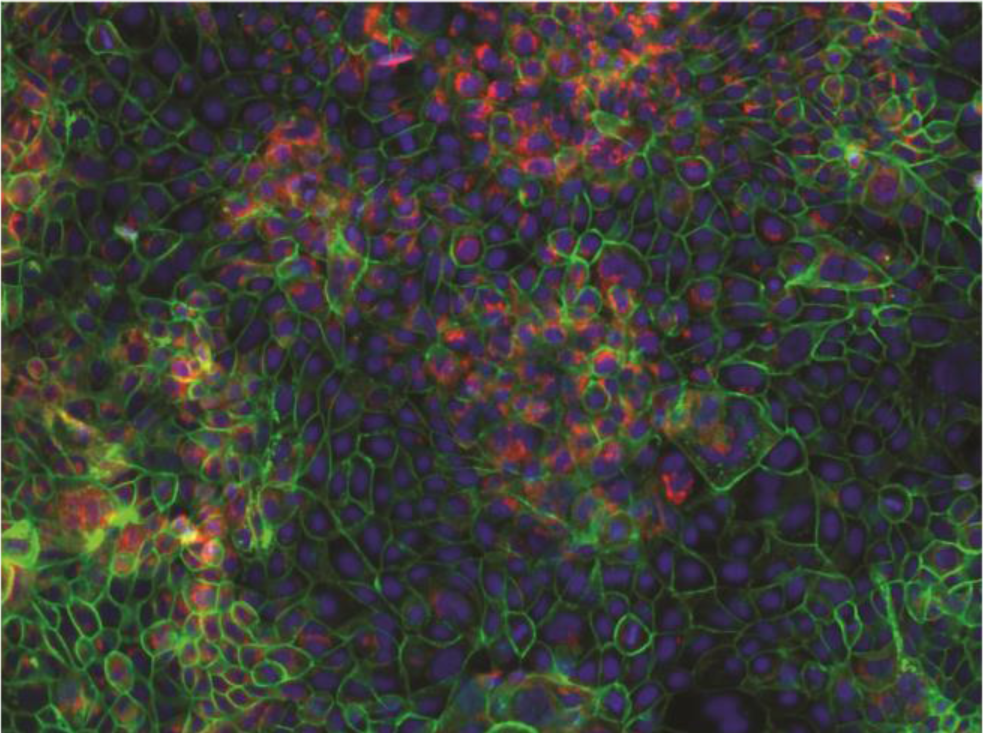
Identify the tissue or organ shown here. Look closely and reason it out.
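A continuous sheet of tightly packed polygonal cells.
Answer: epithelium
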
